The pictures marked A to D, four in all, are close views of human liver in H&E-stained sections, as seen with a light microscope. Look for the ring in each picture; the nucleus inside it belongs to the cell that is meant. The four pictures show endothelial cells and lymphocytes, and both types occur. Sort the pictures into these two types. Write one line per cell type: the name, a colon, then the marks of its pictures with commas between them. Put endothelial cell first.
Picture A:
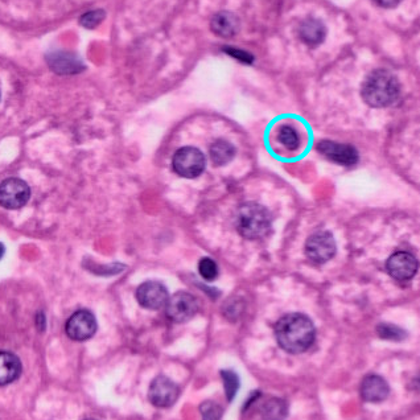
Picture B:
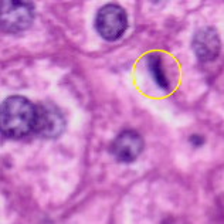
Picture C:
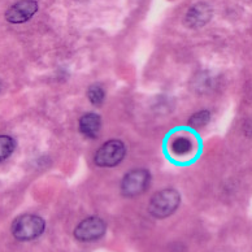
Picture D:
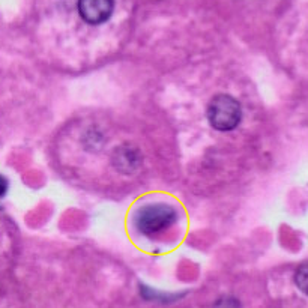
endothelial cell: B, D
lymphocyte: A, C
